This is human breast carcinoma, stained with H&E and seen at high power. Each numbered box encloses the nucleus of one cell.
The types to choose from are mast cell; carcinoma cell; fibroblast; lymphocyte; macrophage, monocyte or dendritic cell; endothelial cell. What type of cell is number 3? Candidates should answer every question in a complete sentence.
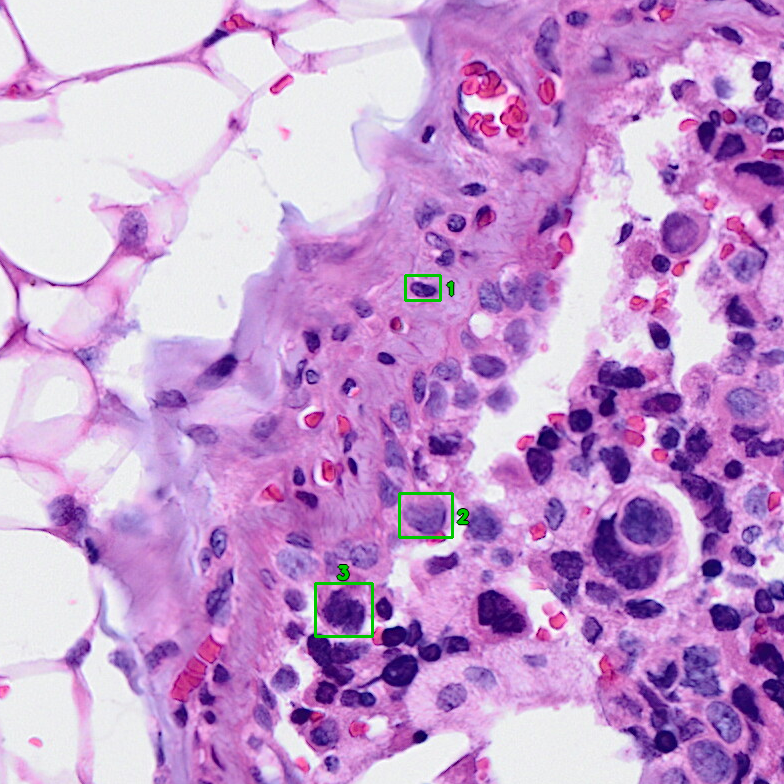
The one labeled 3 is a carcinoma cell, to put it simply.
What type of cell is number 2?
Of the numbered cells, the one labelled 2 is a carcinoma cell.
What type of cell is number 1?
The cell indicated by marker 1 is a mast cell in this section.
